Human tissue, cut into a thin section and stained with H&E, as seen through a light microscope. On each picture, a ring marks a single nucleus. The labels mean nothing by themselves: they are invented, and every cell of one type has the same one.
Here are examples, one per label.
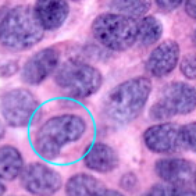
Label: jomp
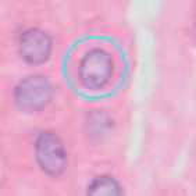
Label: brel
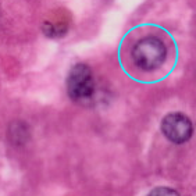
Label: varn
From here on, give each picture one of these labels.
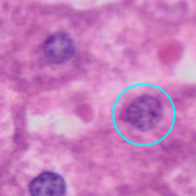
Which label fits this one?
varn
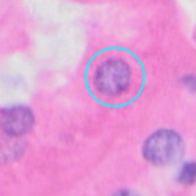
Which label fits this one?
brel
